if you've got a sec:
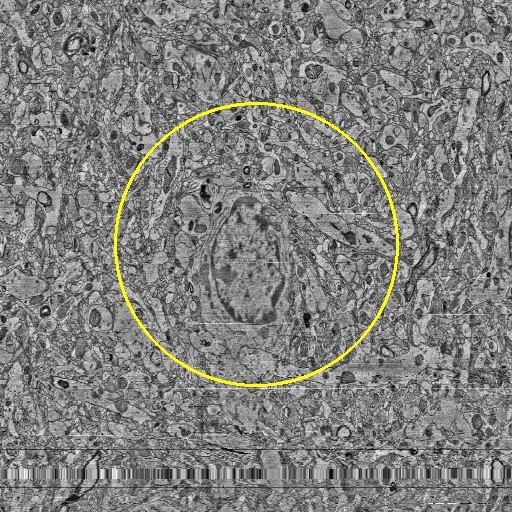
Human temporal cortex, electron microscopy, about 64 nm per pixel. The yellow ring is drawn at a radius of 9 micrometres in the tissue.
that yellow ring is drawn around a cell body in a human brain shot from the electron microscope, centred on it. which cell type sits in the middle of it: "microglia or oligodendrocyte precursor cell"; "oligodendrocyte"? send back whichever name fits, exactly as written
microglia or oligodendrocyte precursor cell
